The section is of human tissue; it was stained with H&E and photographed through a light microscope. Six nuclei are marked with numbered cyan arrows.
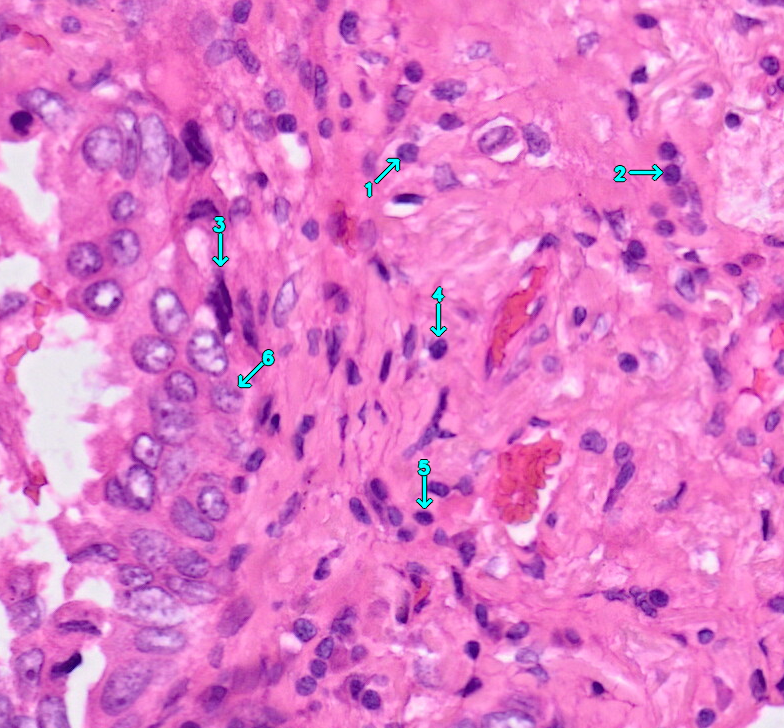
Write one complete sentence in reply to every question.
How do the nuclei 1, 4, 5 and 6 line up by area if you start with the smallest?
The order from the smallest nucleus to the largest is 5, 4, 1, 6.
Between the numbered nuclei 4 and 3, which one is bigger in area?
At about 2.5 times the area of nucleus 4, nucleus 3 is the larger of the two.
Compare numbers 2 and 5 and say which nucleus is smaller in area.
The smaller nucleus is 5, and 2 covers roughly 1.5 times its area.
